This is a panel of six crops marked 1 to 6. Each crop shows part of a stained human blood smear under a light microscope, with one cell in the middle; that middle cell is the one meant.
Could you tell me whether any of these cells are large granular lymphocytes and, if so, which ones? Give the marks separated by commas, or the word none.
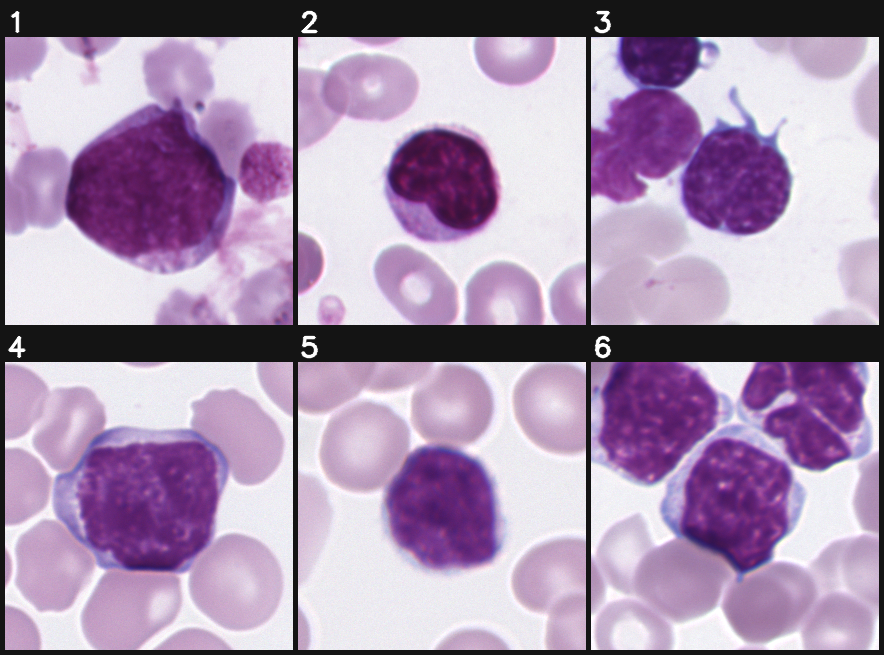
2, 6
